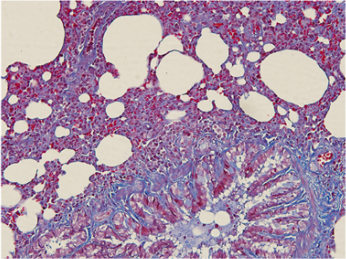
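This is lung parenchyma with alveolar airspaces and, at the lower right, a small airway cut in cross-section. The airspaces vary greatly in size, several being much enlarged and rounded, while others are narrowed. The alveolar walls between them are thick and crowded with purple-stained nuclei and reddish cytoplasm, so that much of the field looks solid rather than lacy. The airway has a folded lining epithelium arranged in radiating ridges around a small central lumen. Around the airway lies a broad zone of blue-stained fibrous tissue that extends into the neighbouring parenchyma.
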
